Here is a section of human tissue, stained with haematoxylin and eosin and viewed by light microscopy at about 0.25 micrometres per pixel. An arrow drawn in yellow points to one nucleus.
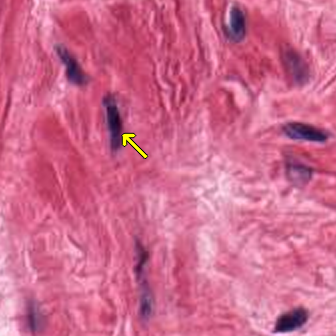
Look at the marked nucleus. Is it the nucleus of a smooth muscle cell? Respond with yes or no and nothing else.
yes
